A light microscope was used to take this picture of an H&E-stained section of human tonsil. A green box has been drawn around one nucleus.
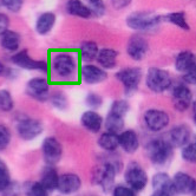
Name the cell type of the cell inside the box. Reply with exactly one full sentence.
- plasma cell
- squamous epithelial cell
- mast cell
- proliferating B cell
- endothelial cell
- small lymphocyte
As a matter of cell type, the cell inside the box is a plasma cell.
